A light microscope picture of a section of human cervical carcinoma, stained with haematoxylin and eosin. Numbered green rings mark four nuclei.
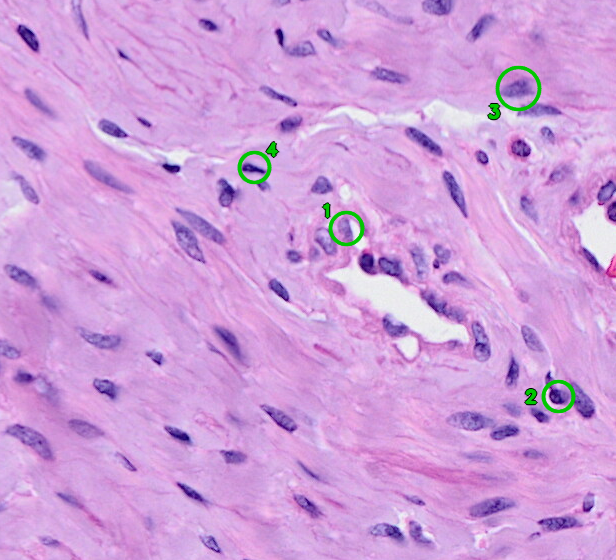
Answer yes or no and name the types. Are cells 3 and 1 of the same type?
No, cell 1 is an endothelial cell, whereas cell 3 is a fibroblast.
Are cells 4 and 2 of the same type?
No, cell 2 is a lymphocyte, while cell 4 is a fibroblast.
